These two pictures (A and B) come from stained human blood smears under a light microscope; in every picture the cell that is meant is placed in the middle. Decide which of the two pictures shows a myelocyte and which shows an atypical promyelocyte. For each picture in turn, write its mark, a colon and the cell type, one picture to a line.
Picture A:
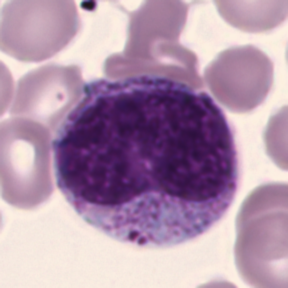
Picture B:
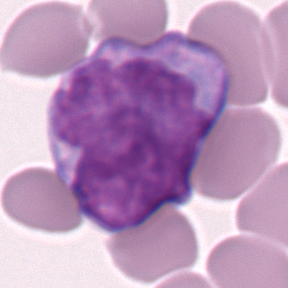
A: myelocyte
B: atypical promyelocyte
